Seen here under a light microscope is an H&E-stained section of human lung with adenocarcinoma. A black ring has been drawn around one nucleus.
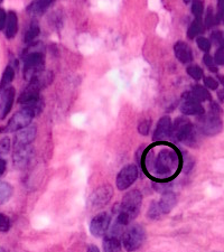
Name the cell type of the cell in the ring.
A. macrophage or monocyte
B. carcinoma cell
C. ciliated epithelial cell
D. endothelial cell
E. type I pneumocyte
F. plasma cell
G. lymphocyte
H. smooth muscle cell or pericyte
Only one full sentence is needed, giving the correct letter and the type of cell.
Looking at the options, pick C; the cell in the ring is a ciliated epithelial cell.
